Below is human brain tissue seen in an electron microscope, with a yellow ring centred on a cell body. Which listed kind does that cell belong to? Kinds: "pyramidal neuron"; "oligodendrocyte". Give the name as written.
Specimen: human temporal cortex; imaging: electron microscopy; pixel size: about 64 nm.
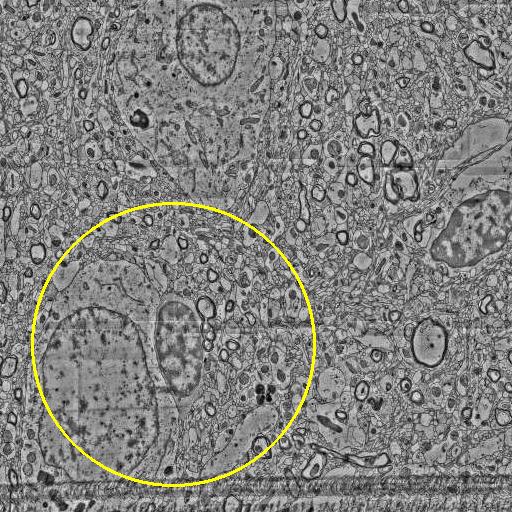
oligodendrocyte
